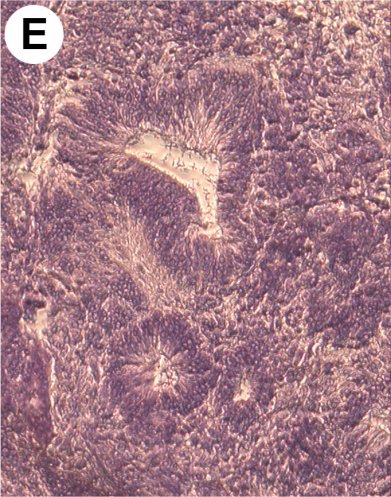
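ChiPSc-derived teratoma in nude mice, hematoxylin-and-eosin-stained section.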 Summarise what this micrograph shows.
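Neuroblastic tissue with neuronal rosettes. The field is crowded with small cells bearing dark purple, round to oval nuclei and scant cytoplasm, giving a dense, uniformly basophilic appearance. Several rosettes are seen: elongated cells line up radially around small central spaces, one forming a clear, irregular lumen toward the top, with fine fibrillar material pointing toward the centres. Between the rosettes the cells are packed without clear organisation. Little pink stroma or vessel is evident.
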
